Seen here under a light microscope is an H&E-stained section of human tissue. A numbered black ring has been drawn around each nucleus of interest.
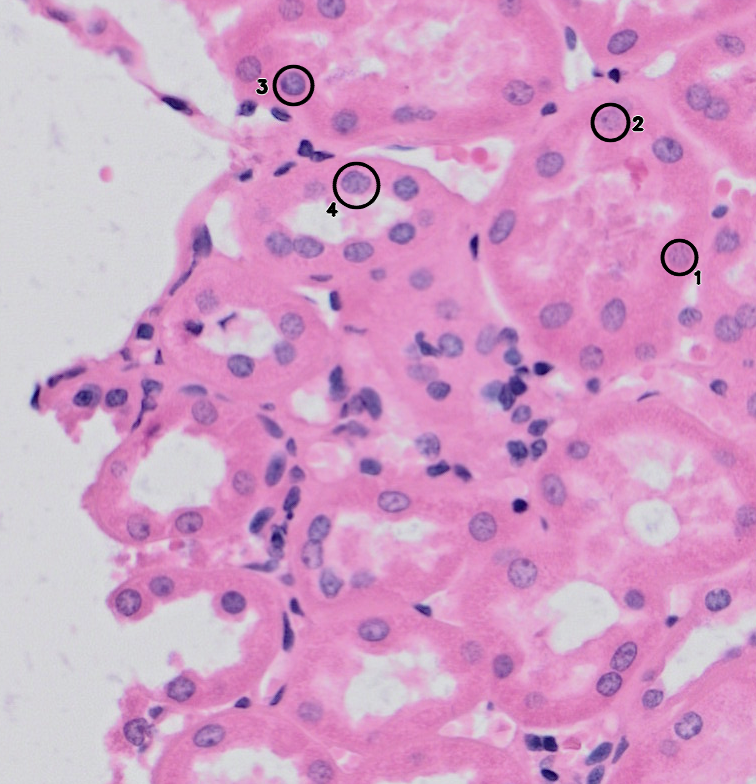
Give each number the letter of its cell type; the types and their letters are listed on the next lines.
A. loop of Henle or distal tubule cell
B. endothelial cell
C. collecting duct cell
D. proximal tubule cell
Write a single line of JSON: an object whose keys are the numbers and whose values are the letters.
{"1": "D", "2": "D", "3": "D", "4": "A"}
